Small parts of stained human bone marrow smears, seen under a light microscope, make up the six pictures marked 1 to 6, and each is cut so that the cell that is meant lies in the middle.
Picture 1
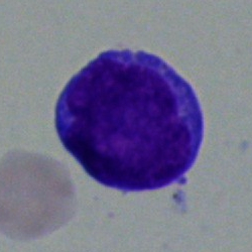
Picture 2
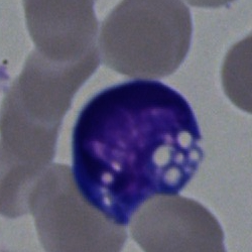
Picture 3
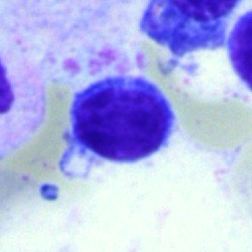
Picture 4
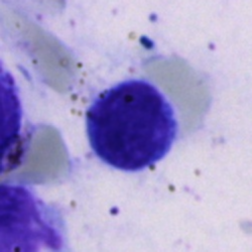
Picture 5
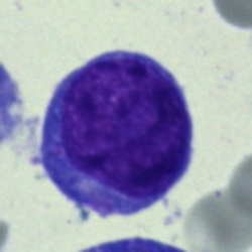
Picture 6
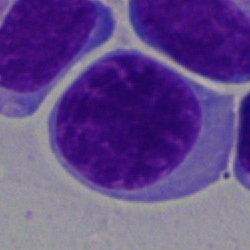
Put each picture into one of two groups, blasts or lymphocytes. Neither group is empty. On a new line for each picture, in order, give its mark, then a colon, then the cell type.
1: blast
2: blast
3: lymphocyte
4: lymphocyte
5: blast
6: blast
